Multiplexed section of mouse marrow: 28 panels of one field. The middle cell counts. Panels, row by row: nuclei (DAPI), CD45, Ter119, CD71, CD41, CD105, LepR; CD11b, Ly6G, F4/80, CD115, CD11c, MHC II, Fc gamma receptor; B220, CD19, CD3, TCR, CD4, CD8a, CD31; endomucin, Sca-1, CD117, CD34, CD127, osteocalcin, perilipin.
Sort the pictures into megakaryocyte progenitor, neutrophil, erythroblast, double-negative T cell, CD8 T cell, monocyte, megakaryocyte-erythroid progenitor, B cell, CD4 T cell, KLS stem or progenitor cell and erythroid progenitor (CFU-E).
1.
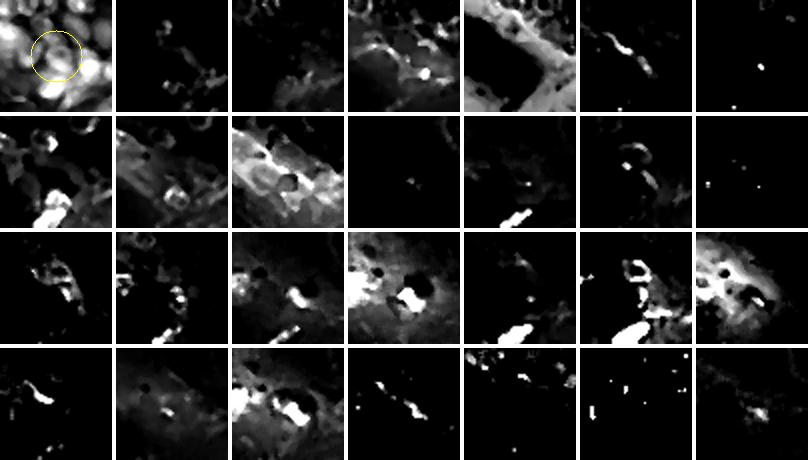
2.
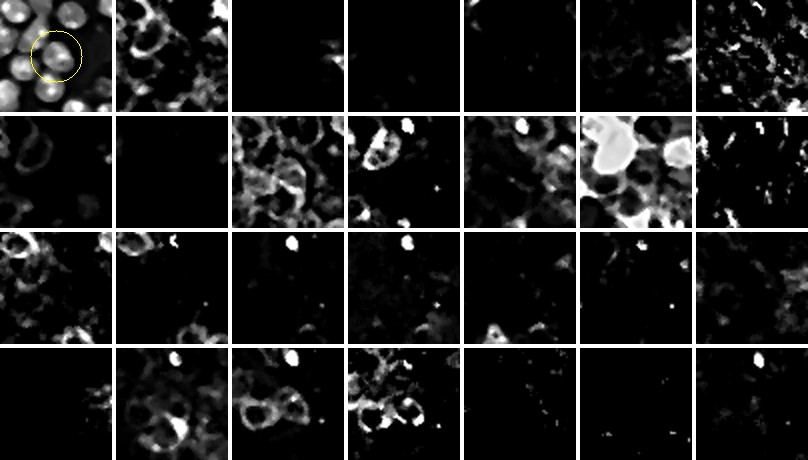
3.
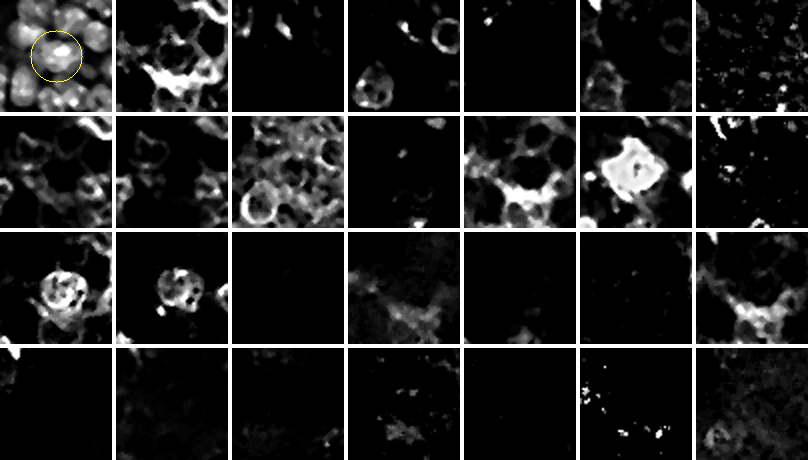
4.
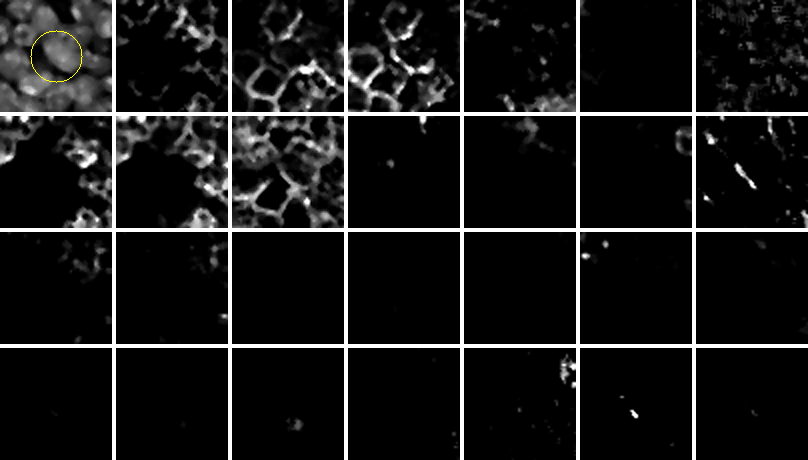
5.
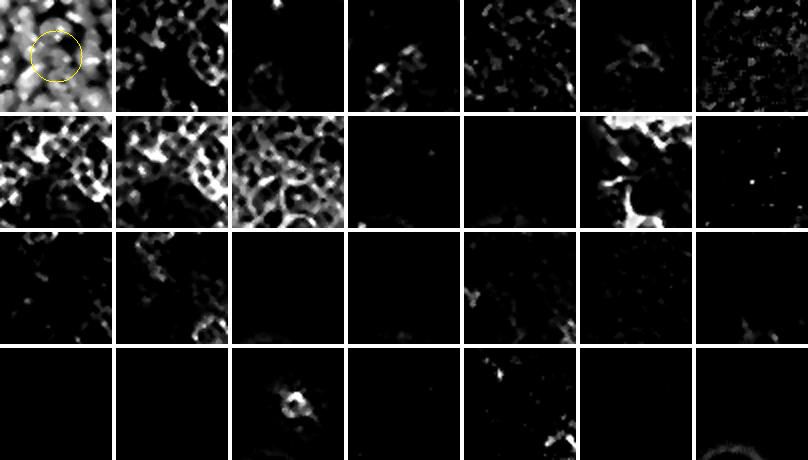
Erythroid progenitors (CFU-E): 1, 5
KLS stem or progenitor cells: 2
B cells: 3
Erythroblasts: 4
